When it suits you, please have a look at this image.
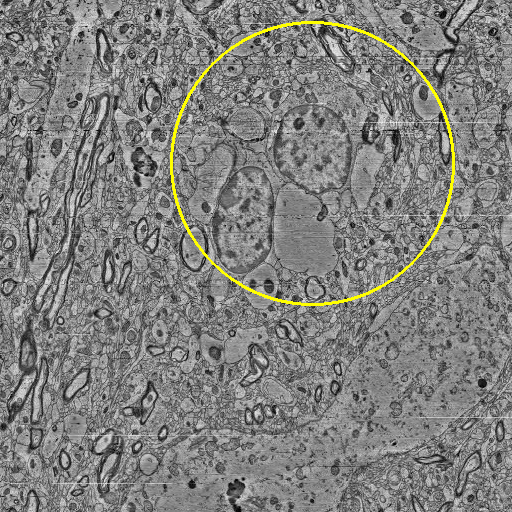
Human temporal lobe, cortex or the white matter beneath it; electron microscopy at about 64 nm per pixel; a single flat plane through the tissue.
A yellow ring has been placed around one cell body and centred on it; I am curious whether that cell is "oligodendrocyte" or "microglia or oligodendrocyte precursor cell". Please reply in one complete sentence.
The ringed cell, an oligodendrocyte, has its body at the centre of the yellow ring.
